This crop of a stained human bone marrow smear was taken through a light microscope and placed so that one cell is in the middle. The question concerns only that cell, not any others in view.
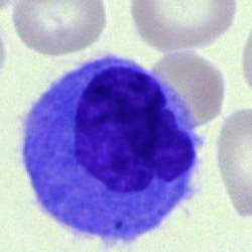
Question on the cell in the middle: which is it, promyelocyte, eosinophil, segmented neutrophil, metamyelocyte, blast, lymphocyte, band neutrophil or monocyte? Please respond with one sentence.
The cell at the central position in this crop is a monocyte.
